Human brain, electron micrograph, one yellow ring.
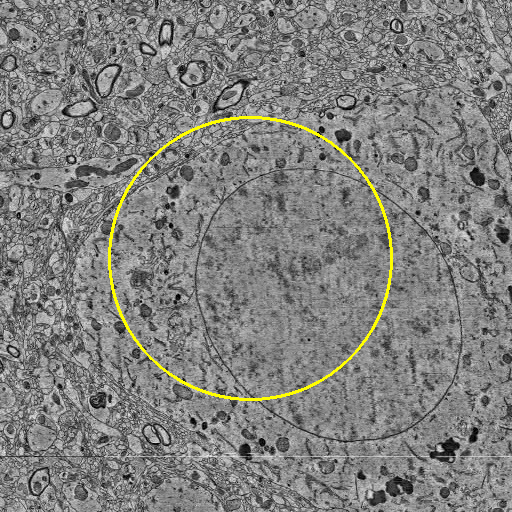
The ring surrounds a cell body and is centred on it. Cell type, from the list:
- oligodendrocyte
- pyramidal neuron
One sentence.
The yellow ring circles a pyramidal neuron.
